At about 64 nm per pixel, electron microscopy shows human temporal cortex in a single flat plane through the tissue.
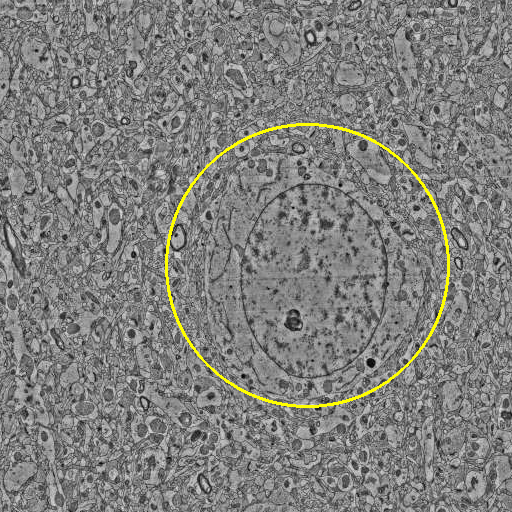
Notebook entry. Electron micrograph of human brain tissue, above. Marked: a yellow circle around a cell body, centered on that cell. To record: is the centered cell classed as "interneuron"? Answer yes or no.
No, the centered cell belongs to another kind.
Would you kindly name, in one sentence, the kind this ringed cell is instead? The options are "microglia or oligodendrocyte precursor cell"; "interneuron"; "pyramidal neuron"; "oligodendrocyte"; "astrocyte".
The cell at the ring centre is a pyramidal neuron.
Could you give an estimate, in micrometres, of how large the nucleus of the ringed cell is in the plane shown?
Roughly 12 by 9 micrometres is the size of the nucleus in this plane.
